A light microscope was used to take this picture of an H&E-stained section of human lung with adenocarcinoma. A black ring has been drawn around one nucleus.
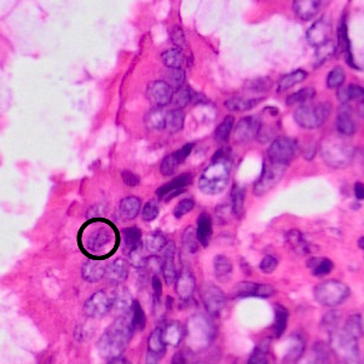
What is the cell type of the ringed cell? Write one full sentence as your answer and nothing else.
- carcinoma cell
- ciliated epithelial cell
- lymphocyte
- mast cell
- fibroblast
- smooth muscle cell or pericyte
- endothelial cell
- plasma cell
For cell typing purposes, the ringed cell is a ciliated epithelial cell.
